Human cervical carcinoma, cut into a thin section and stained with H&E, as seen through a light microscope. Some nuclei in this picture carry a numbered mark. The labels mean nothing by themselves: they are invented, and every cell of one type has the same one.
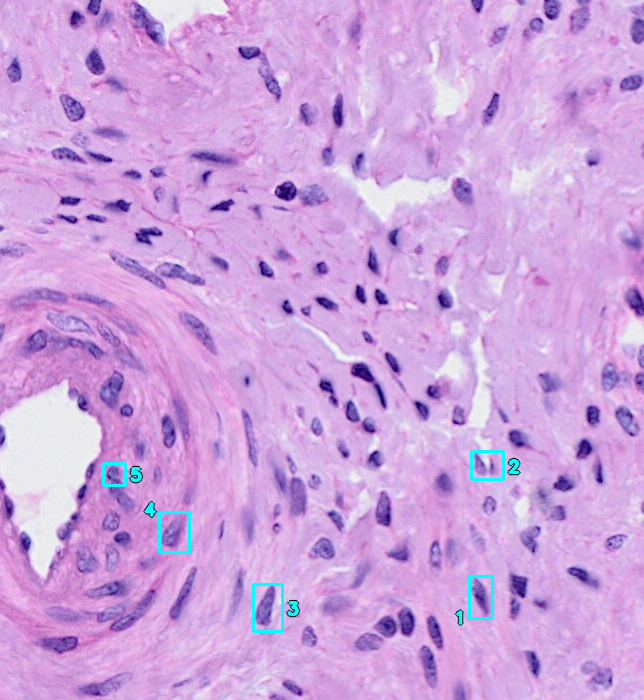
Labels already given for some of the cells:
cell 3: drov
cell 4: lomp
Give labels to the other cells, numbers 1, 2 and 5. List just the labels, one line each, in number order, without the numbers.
drov
drov
lomp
